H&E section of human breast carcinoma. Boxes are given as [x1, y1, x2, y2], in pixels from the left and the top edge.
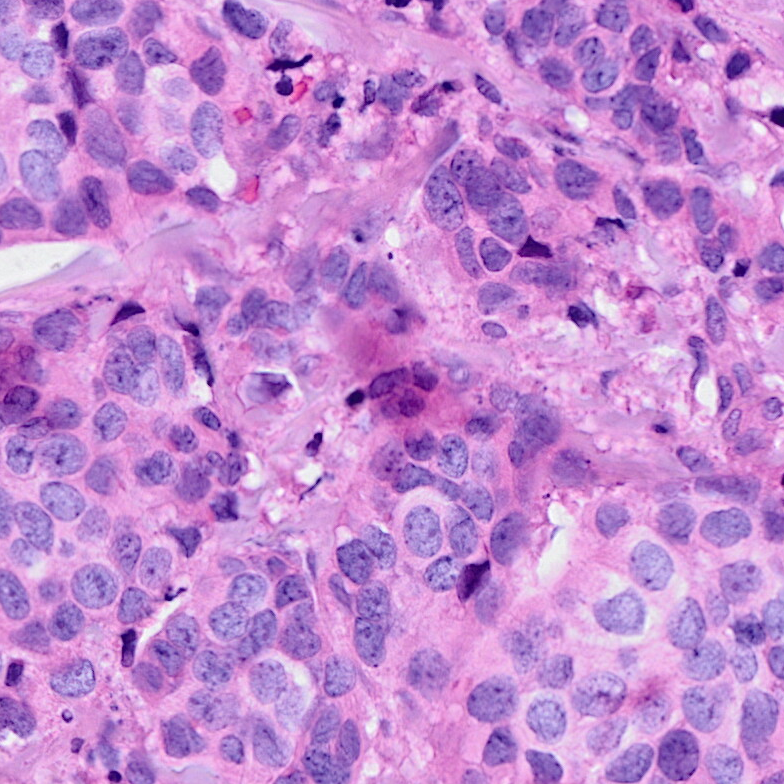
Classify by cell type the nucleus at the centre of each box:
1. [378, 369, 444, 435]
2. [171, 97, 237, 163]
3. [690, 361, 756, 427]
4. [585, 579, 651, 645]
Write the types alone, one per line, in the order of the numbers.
carcinoma cell
carcinoma cell
endothelial cell
carcinoma cell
